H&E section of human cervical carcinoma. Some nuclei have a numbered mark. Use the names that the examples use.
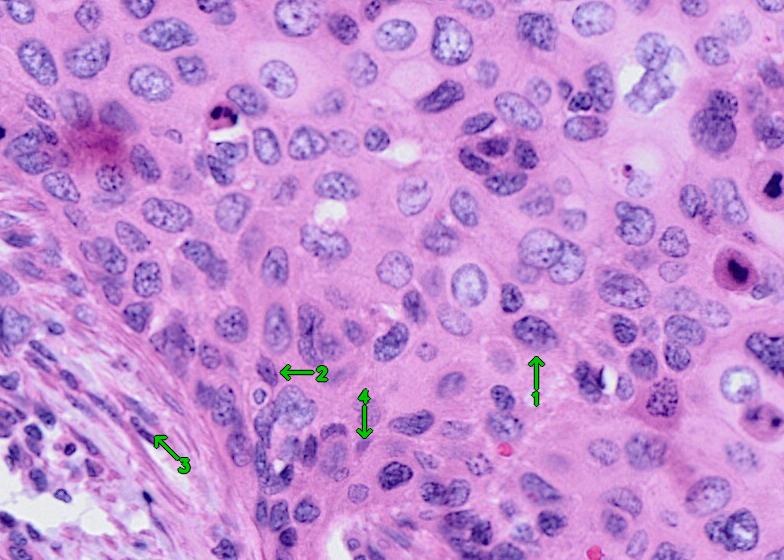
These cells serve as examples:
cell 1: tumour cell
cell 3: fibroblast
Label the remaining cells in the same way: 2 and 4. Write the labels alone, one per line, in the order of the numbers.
tumour cell
tumour cell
